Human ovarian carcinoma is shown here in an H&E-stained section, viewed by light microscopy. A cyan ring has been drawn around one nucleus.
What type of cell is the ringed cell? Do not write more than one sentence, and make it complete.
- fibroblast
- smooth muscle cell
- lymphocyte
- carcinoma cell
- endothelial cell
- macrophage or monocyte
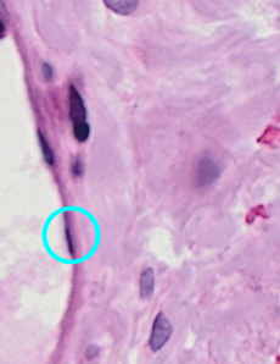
Recorded by type, the ringed cell is an endothelial cell.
